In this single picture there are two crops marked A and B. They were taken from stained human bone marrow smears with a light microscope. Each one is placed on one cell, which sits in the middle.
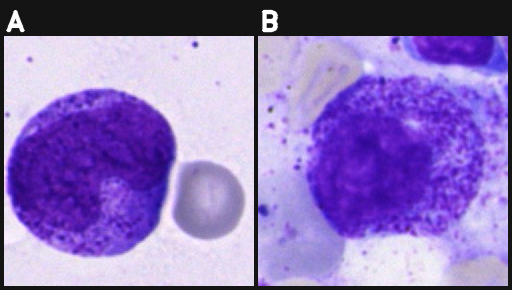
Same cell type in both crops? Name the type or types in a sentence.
Yes, the pair of crops both show promyelocytes.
